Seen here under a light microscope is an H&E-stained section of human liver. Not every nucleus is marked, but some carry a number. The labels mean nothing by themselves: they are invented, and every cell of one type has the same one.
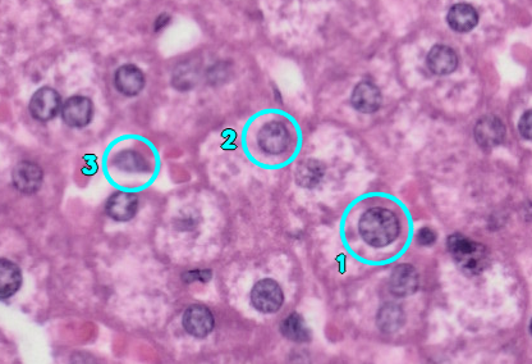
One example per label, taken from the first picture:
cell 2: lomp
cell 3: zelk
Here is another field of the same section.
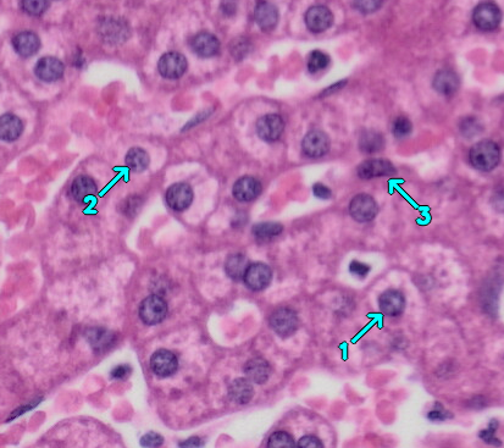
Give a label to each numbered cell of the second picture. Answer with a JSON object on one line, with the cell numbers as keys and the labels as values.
{"1": "lomp", "2": "lomp", "3": "zelk"}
